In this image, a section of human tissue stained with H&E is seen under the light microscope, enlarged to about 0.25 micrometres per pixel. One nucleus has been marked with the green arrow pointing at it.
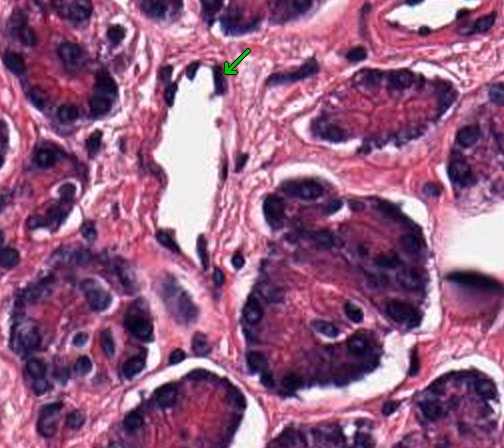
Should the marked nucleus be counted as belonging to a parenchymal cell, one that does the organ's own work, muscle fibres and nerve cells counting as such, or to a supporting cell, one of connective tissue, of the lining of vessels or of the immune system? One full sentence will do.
The marked nucleus is classified as belonging to a supporting cell.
